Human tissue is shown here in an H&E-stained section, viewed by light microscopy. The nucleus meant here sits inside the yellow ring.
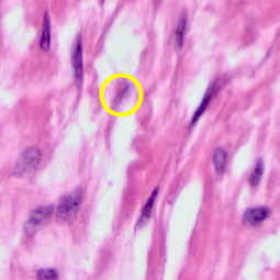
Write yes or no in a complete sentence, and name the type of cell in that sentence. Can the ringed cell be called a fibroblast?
Yes, the ringed cell corresponds to a fibroblast in this tissue.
